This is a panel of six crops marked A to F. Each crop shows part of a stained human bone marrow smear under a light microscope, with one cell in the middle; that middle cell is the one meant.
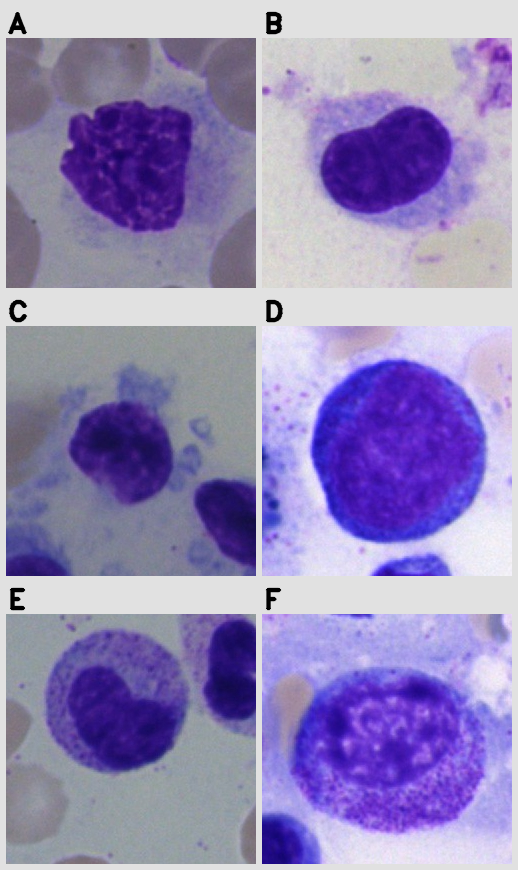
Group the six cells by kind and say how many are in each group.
hairy cell: 3
proerythroblast: 1
metamyelocyte: 1
promyelocyte: 1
